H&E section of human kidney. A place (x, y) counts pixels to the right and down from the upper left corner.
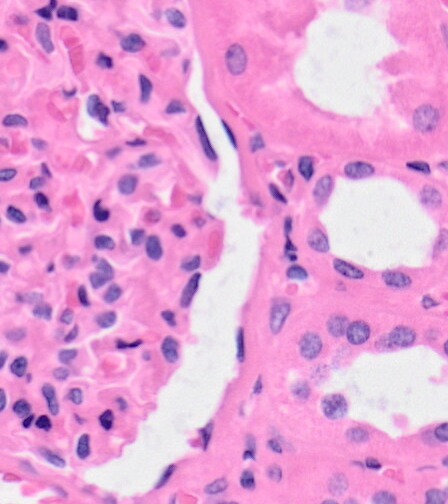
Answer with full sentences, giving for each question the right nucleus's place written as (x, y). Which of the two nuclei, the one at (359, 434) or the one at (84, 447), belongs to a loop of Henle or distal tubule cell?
As for which of the two, the nucleus at (359, 434) belongs to a loop of Henle or distal tubule cell.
